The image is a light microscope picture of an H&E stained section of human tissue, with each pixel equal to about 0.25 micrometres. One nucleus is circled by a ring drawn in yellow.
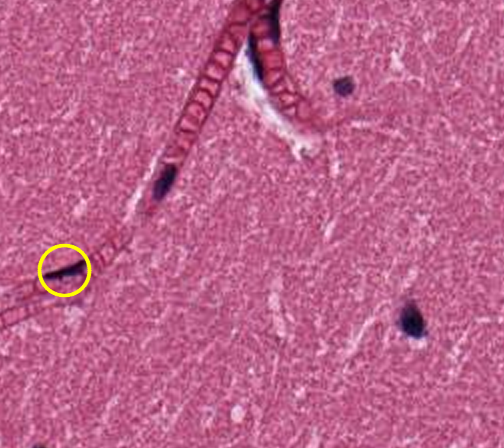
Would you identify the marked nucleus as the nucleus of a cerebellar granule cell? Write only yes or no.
no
